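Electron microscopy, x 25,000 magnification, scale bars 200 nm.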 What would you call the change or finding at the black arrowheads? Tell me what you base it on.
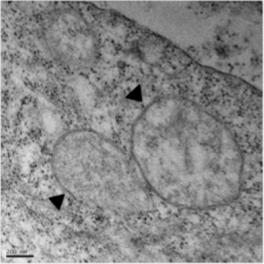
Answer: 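Two large rounded organelles bounded by a double membrane. Their interior is pale with few or no cristae.
Conclusion: mitochondrial swelling and loss of cristae architecture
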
